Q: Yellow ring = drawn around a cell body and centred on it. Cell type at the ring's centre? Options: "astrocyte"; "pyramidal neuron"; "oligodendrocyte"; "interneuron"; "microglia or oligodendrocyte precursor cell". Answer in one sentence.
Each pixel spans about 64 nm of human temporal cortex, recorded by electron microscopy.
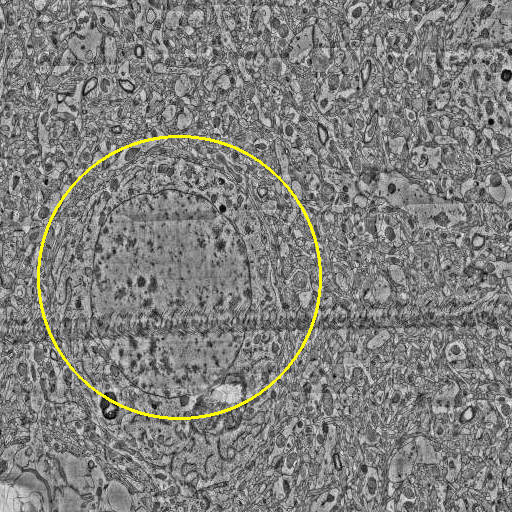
Centred in the ring is a pyramidal neuron.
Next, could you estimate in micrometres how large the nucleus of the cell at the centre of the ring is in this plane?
The nucleus has a long axis of about 13 micrometres and a short axis of about 10 micrometres in this plane.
